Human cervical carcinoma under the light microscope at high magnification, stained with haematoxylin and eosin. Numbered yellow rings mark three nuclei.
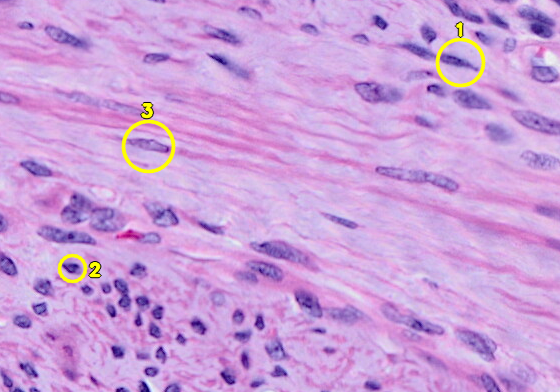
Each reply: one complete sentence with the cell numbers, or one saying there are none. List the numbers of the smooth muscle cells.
In terms of cell type, cells 2 and 3 are smooth muscle cells.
